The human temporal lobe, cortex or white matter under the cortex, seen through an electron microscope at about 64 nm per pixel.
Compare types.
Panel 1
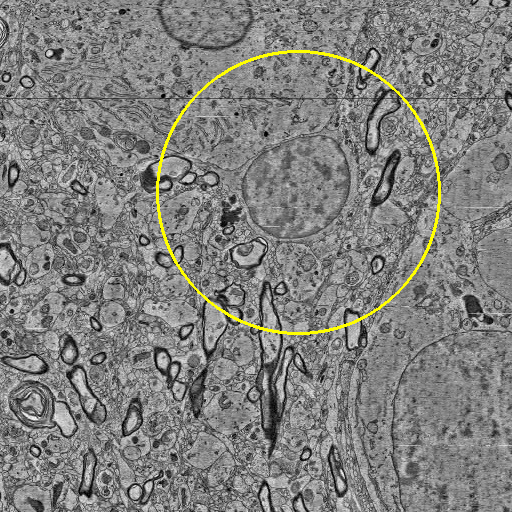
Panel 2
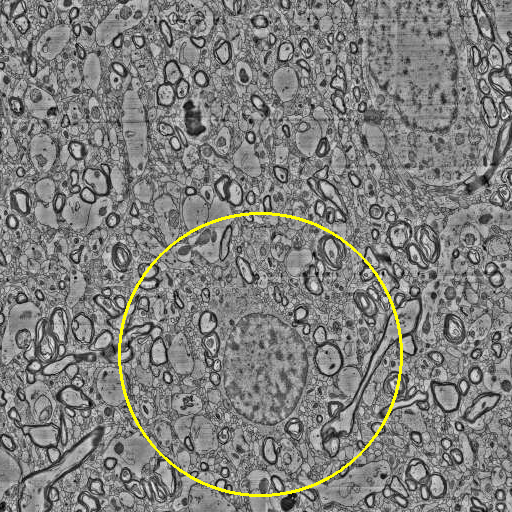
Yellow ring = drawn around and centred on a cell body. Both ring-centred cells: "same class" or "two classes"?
same class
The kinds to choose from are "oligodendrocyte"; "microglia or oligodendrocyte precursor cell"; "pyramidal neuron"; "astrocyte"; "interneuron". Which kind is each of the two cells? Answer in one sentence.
Each cell at the centre of a ring is an oligodendrocyte.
